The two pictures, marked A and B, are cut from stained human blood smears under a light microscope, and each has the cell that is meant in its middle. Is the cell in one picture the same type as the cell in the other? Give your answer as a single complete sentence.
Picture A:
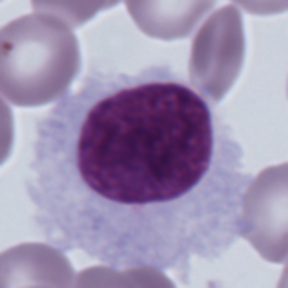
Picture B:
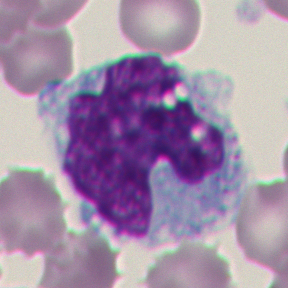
No, picture A shows a hairy cell and picture B shows a monocyte.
